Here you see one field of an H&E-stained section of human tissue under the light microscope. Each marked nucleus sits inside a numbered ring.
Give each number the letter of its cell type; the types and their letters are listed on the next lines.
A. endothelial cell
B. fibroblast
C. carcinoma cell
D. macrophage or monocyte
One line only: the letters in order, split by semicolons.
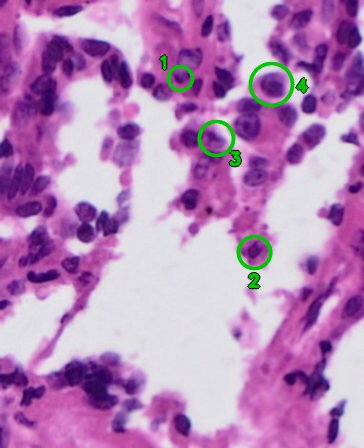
A; D; C; C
